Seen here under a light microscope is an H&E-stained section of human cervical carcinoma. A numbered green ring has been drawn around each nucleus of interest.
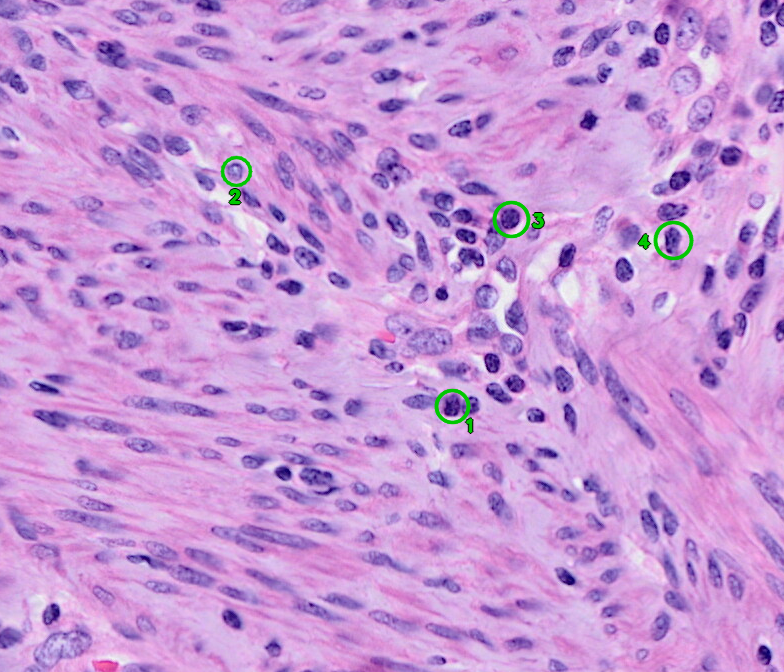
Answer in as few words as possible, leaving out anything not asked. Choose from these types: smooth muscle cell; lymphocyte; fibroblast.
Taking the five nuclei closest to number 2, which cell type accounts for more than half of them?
smooth muscle cell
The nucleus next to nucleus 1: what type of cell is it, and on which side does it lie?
a lymphocyte to the right of nucleus 1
